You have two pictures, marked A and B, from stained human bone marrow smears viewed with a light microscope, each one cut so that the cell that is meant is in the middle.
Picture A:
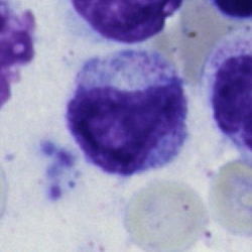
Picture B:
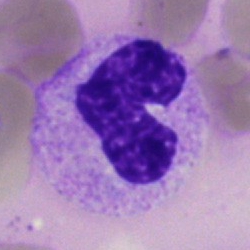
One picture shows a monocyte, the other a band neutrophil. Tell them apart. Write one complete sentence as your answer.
Picture B shows a band neutrophil, while picture A shows a monocyte.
